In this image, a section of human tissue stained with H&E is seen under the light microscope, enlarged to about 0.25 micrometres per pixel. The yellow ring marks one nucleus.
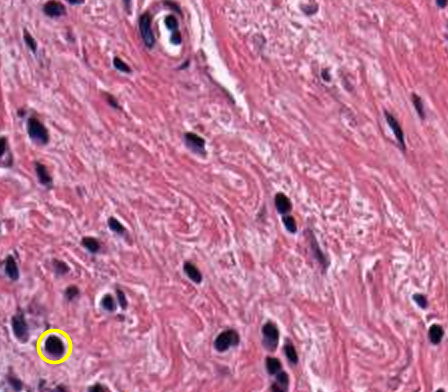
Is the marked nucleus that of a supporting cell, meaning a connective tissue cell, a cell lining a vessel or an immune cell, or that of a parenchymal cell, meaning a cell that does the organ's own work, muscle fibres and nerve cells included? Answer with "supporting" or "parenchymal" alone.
supporting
